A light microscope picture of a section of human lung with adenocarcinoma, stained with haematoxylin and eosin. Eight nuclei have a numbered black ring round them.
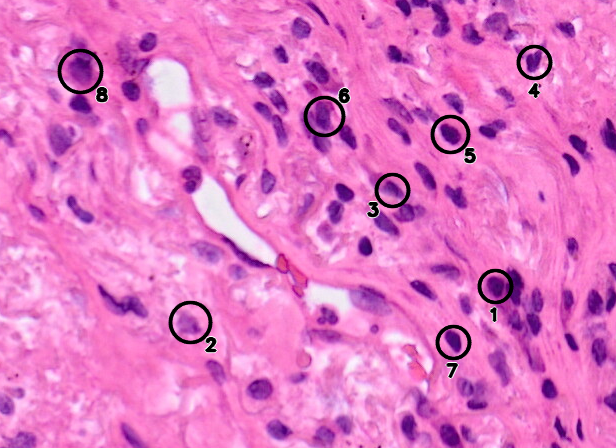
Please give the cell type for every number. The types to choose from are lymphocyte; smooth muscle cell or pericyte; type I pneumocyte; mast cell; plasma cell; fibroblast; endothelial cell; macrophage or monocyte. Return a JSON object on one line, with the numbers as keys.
{"1": "plasma cell", "2": "fibroblast", "3": "plasma cell", "4": "lymphocyte", "5": "lymphocyte", "6": "plasma cell", "7": "lymphocyte", "8": "plasma cell"}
